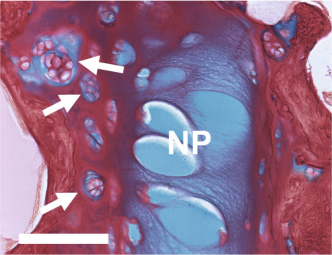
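Annulus of an intervertebral disc in which hypertrophic chondrocytes lie singly or in small groups within enlarged, rounded lacunae. The lacunae are rimmed by blue-staining cartilage matrix and are set in red-staining fibrous tissue, while a broad blue central region contains large, smooth-walled pale cavities.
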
